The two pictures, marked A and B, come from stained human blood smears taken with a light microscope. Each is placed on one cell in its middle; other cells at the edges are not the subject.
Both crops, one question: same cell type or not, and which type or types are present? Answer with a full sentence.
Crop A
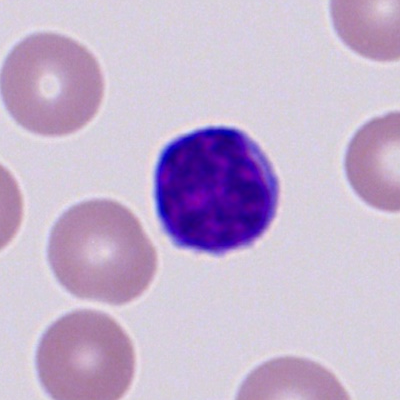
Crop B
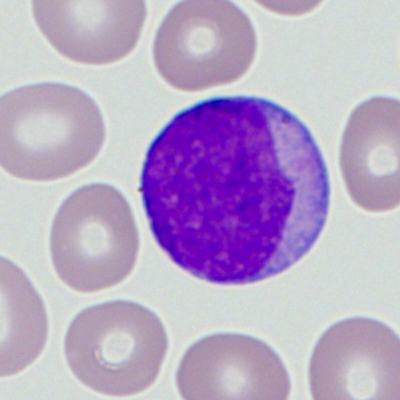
No, the correct reading is a lymphocyte in crop A and a myeloblast in crop B.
